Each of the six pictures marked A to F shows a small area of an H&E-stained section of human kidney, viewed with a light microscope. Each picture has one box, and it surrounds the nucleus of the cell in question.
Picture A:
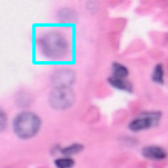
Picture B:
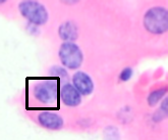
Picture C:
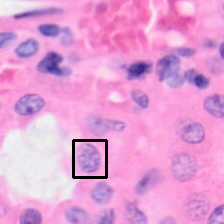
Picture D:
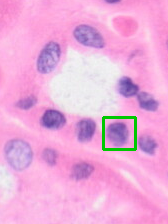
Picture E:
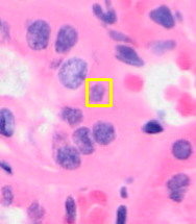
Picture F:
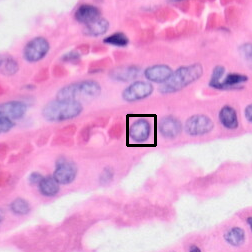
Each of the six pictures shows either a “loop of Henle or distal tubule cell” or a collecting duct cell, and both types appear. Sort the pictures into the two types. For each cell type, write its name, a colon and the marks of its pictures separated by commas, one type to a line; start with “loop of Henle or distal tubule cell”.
loop of Henle or distal tubule cell: C, D
collecting duct cell: A, B, E, F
